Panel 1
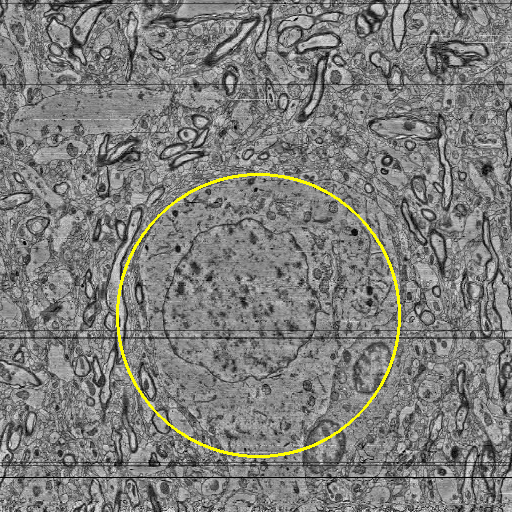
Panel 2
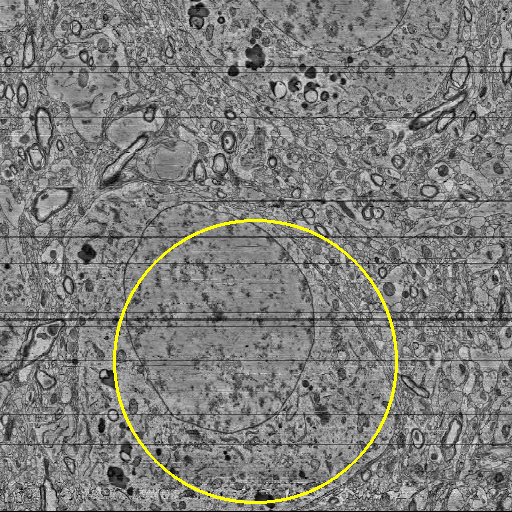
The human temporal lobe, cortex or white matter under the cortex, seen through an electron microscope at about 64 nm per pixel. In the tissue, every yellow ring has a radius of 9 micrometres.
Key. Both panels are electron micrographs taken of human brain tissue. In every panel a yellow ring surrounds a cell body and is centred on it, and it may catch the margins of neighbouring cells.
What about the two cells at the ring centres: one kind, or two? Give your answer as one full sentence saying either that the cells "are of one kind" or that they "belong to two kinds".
Across Panels 1 and 2, the two cells at the ring centres are of one kind.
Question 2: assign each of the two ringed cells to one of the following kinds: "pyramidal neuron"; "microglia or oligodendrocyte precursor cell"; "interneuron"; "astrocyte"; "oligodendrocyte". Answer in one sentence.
The first and the second cell are each a pyramidal neuron.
